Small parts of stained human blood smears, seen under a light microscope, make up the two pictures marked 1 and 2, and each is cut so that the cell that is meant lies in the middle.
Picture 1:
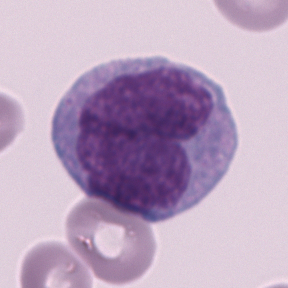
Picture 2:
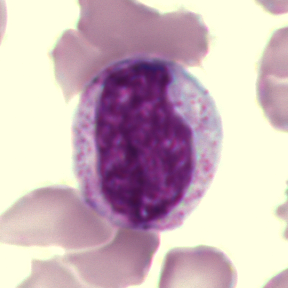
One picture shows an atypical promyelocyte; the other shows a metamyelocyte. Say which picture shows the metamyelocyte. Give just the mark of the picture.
2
